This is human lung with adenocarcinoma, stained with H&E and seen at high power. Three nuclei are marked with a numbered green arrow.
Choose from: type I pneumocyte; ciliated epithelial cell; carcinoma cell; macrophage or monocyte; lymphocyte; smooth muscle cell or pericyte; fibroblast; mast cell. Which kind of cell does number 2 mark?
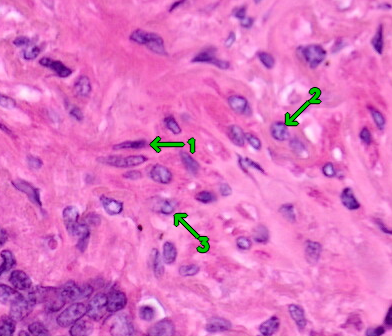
mast cell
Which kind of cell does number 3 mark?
smooth muscle cell or pericyte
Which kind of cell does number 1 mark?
smooth muscle cell or pericyte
